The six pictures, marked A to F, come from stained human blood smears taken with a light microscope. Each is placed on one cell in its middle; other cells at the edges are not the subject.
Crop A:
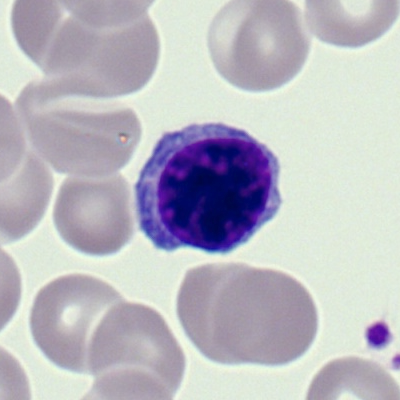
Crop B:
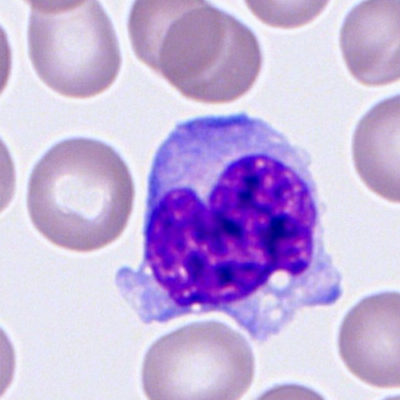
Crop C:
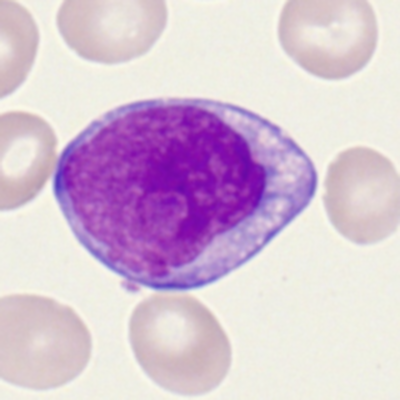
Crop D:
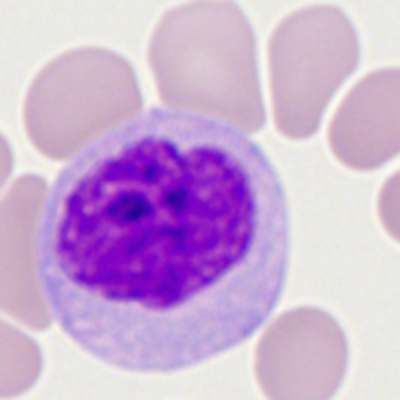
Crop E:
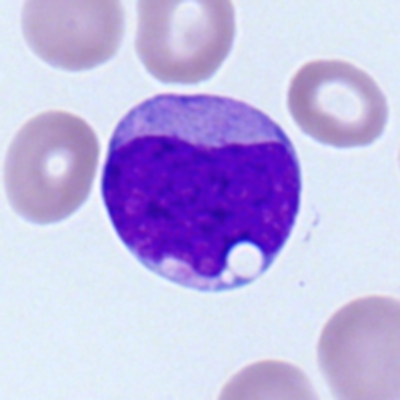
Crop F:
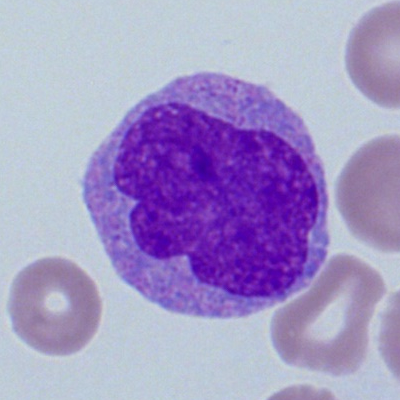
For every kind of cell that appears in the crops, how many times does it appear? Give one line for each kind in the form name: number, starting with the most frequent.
myeloblast: 3
monocyte: 2
lymphocyte: 1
